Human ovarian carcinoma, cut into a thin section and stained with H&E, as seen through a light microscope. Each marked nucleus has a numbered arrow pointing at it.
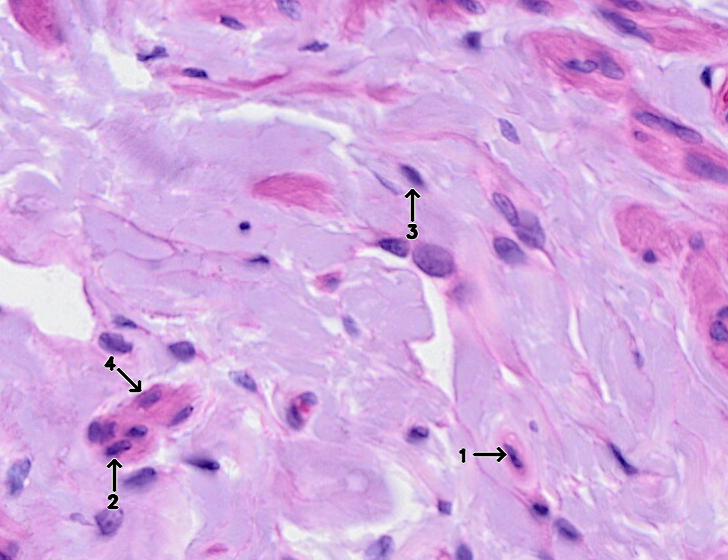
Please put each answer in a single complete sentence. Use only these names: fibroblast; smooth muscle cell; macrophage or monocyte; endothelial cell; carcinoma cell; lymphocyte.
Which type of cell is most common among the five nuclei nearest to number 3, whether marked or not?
Endothelial cells account for more than half of the five nuclei nearest to number 3.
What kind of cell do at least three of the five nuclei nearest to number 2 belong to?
Of the five nuclei nearest to number 2, most belong to smooth muscle cells.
